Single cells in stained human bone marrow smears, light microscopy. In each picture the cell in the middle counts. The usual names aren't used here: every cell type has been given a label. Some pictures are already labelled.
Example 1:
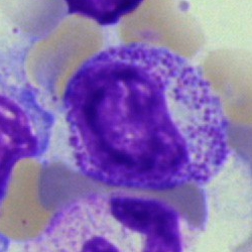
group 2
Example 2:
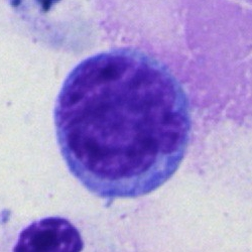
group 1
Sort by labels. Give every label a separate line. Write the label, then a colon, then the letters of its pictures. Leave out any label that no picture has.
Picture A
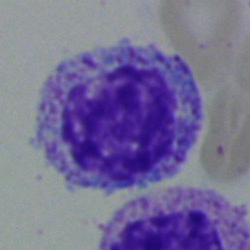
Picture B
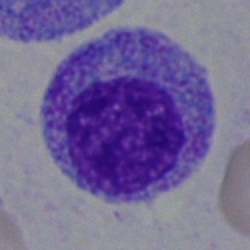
group 2: A, B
